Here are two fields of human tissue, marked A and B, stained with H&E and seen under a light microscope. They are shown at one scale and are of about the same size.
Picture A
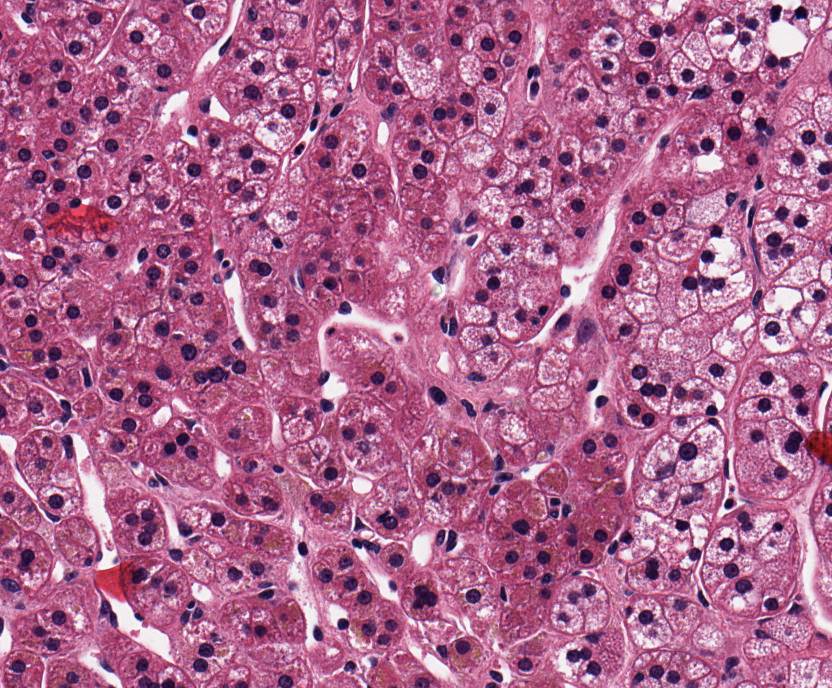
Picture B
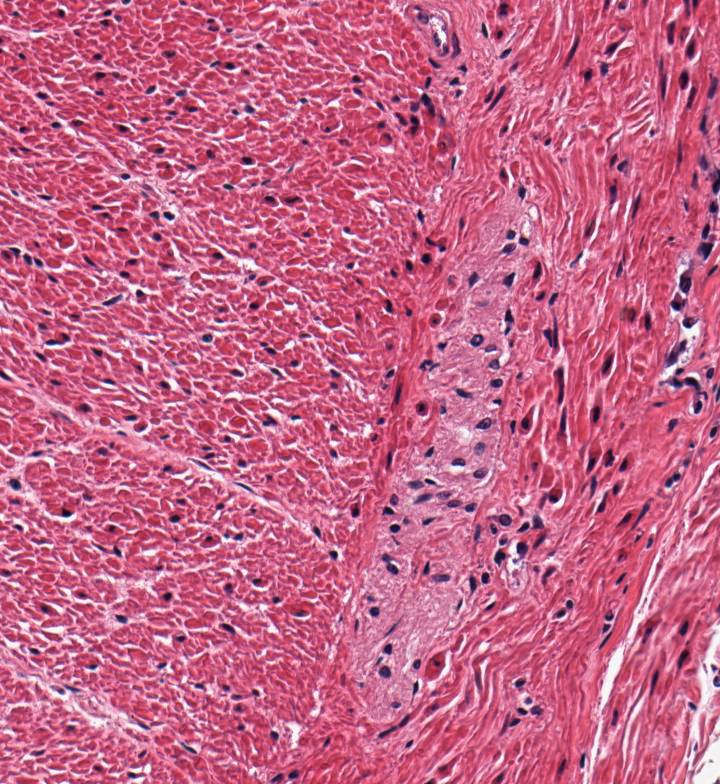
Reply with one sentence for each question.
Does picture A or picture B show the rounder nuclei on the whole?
The nuclei are rounder in picture A.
